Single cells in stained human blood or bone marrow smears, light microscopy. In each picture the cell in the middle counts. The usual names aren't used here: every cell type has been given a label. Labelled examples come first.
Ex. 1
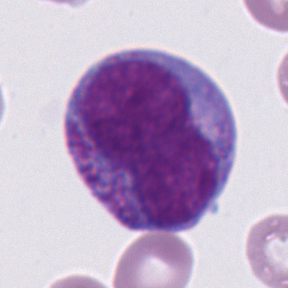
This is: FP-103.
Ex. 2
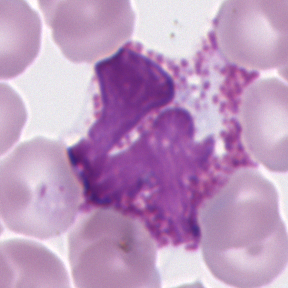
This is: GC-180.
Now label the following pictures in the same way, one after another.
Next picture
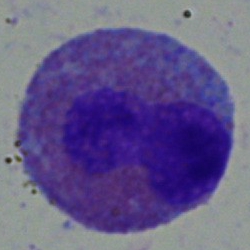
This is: GC-180.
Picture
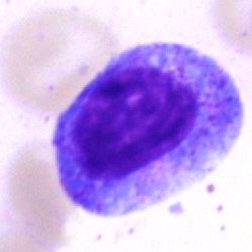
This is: FP-103.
